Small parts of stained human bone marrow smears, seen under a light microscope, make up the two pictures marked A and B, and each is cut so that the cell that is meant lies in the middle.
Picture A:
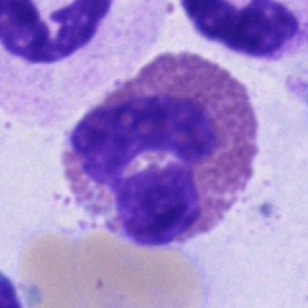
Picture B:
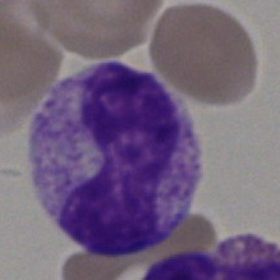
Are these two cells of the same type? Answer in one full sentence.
No, they differ: the cell is an eosinophil in picture A and a band neutrophil in picture B.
